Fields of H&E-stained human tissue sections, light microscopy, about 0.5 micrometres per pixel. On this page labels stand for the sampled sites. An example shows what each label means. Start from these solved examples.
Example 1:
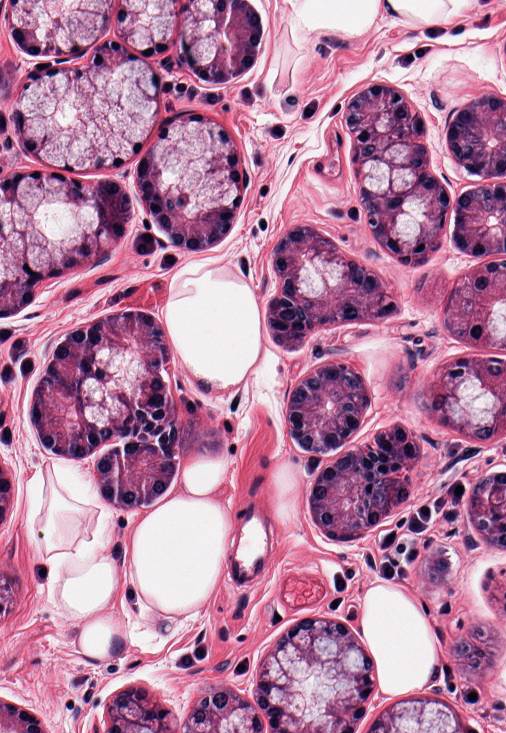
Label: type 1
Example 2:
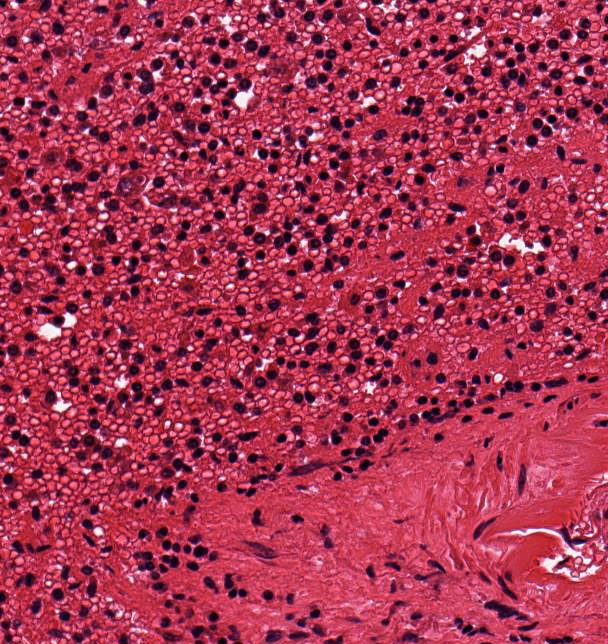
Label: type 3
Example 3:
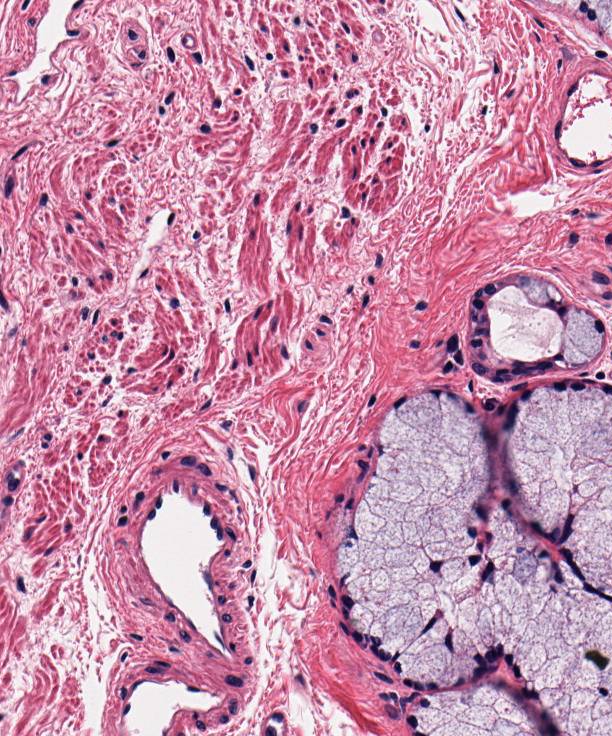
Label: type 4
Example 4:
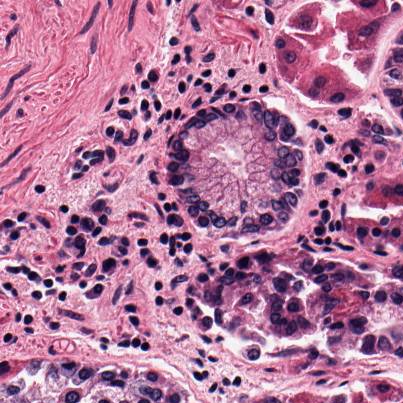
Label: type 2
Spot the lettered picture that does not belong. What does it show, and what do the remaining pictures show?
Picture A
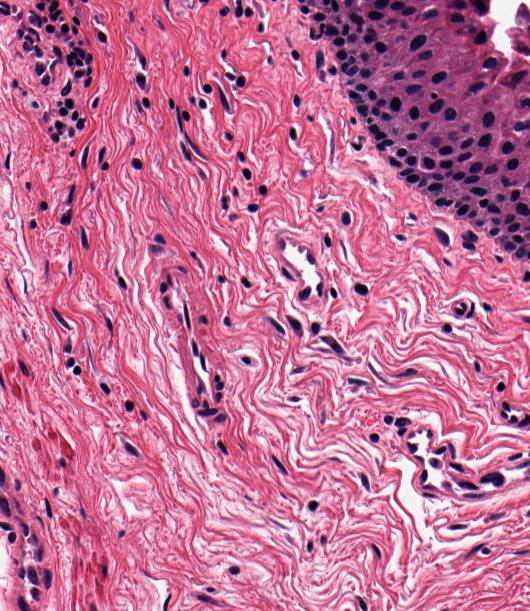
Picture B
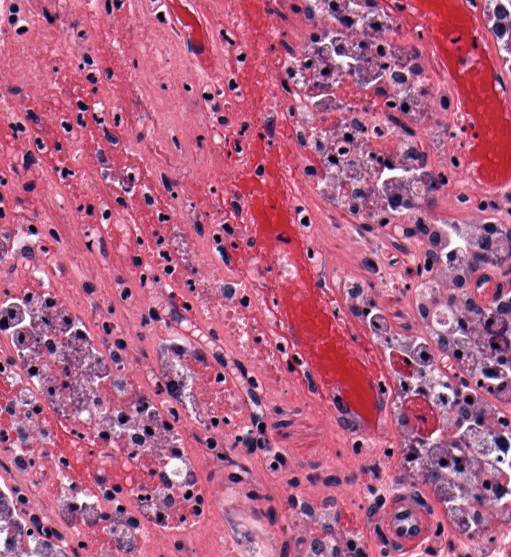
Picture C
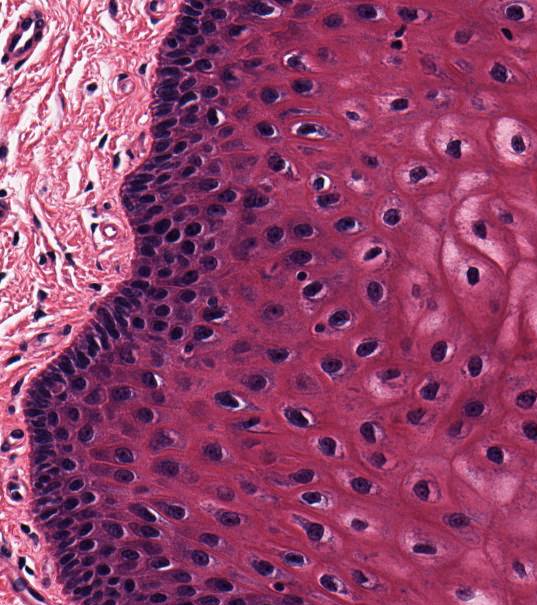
Exception: B, showing type 2. Remaining pictures: type 4.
